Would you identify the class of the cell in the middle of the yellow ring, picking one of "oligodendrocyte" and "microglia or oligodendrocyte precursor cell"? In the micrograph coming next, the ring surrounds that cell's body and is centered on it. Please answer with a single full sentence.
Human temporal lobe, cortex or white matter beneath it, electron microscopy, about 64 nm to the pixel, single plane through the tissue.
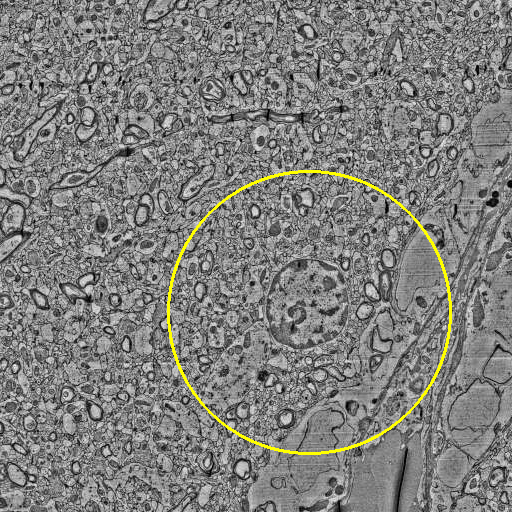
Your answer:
In the micrograph, it is a microglial cell or oligodendrocyte precursor cell whose body lies at the ring's center.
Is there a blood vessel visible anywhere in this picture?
Yes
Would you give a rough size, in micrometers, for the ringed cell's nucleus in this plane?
In this plane, approximately 6 micrometres across.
